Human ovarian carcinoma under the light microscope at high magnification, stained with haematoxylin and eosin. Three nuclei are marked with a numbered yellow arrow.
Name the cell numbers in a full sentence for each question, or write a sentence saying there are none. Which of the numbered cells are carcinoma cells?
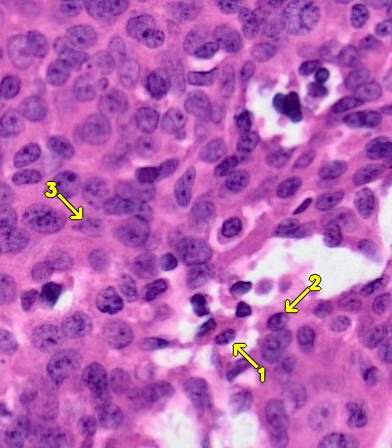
Among all the marked cells, a carcinoma cell is found only at number 3.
